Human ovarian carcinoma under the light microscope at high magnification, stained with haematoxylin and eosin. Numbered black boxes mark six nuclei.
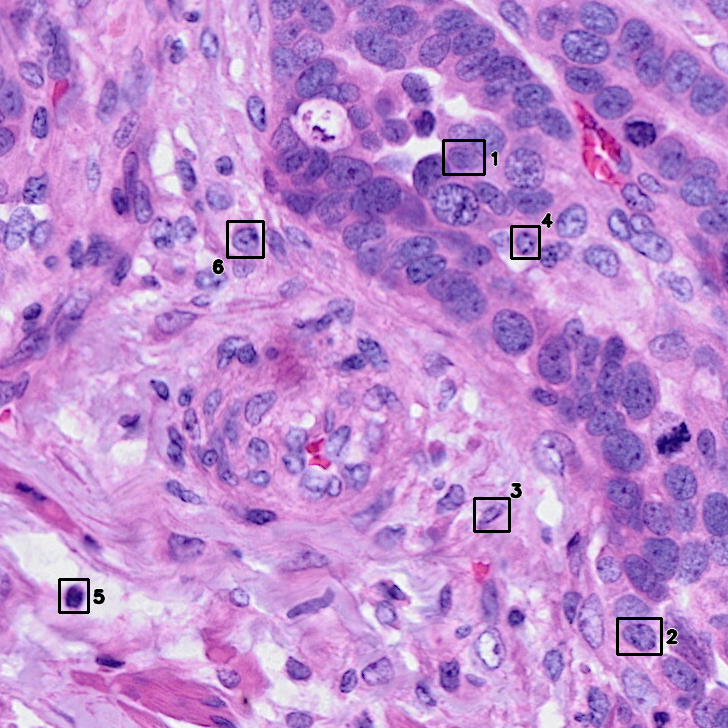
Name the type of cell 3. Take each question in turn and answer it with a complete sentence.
The cell whose nucleus carries the number 3 is a fibroblast.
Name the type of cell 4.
Corresponding to a macrophage or monocyte is the cell labelled 4.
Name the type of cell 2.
Numbered cell 2 is a macrophage or monocyte in this tissue section.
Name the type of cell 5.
Recognised here as a lymphocyte is the cell numbered 5.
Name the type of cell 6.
The one numbered 6 among the marked cells is a macrophage or monocyte.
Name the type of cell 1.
The correct answer for cell 1 is a carcinoma cell.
